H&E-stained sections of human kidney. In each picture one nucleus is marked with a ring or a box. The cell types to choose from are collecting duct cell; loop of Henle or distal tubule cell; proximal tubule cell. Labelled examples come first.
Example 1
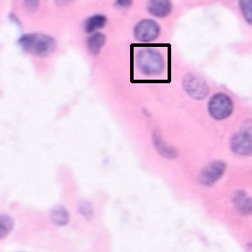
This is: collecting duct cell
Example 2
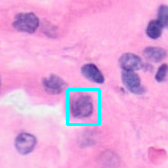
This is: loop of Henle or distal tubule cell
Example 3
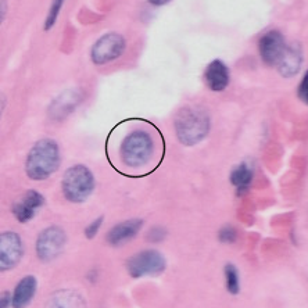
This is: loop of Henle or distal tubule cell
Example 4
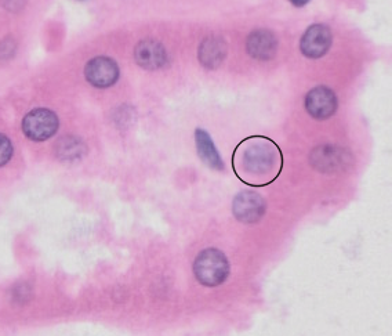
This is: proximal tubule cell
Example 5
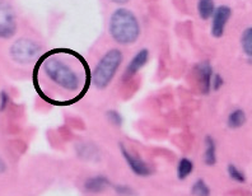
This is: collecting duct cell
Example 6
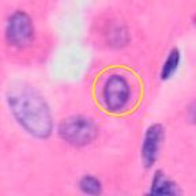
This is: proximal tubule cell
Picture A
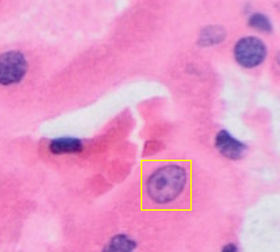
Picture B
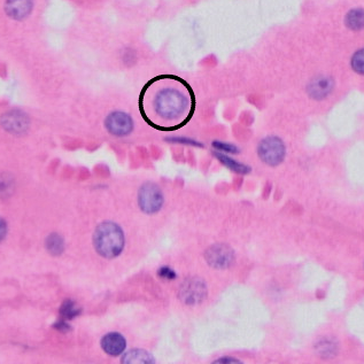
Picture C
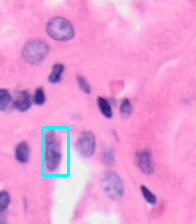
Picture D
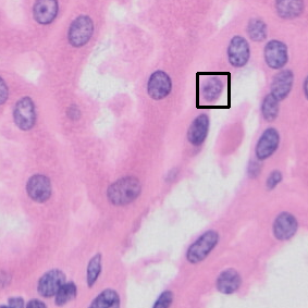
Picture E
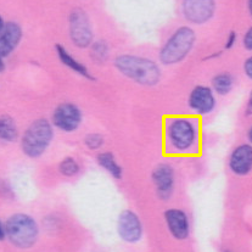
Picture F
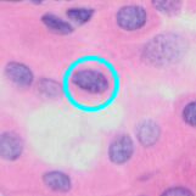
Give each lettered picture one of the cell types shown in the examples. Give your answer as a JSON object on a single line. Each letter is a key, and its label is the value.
{"A": "proximal tubule cell", "B": "proximal tubule cell", "C": "loop of Henle or distal tubule cell", "D": "collecting duct cell", "E": "collecting duct cell", "F": "loop of Henle or distal tubule cell"}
